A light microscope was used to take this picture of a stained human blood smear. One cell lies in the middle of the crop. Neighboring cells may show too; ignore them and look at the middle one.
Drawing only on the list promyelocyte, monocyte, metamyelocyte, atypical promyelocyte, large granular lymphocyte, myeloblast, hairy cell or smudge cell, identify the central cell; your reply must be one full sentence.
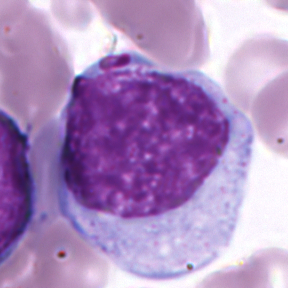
This particular crop is centered on a promyelocyte.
